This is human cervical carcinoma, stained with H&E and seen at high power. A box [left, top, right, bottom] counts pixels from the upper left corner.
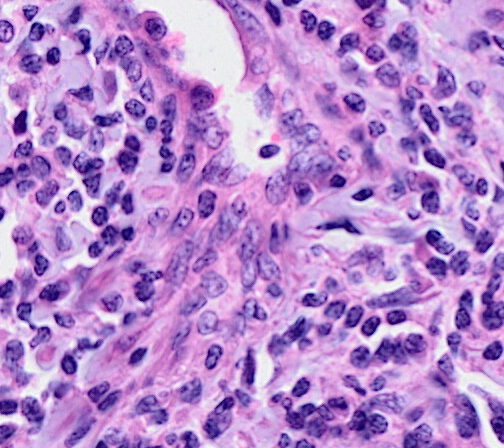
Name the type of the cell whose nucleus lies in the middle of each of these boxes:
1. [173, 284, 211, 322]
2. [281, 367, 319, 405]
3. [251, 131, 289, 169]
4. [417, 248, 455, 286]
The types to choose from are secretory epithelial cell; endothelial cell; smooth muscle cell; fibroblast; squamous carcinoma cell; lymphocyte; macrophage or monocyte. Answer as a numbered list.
1. endothelial cell
2. lymphocyte
3. lymphocyte
4. lymphocyte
